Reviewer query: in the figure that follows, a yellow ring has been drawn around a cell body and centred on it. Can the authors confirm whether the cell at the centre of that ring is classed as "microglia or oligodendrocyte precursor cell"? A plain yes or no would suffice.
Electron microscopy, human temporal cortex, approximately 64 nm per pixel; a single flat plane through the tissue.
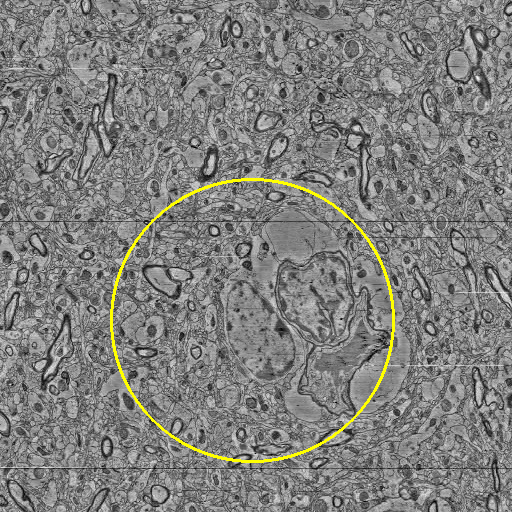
yes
